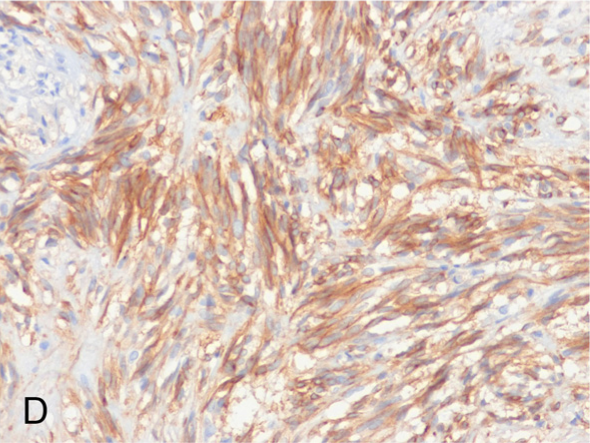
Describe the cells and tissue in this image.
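The brown color fills the cytoplasm of the elongated cells, outlining their spindle shapes as they run in interlacing bundles. Between the bundles are paler, bluish areas where cells with small blue nuclei take up little of the brown stain.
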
